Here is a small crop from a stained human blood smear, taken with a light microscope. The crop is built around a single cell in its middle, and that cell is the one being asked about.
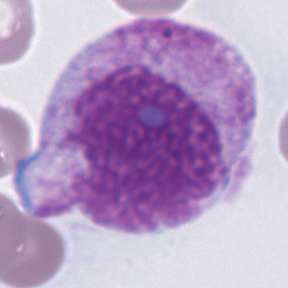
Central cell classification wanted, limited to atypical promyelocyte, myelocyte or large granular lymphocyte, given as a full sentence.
The cell in the middle of this crop is an atypical promyelocyte.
